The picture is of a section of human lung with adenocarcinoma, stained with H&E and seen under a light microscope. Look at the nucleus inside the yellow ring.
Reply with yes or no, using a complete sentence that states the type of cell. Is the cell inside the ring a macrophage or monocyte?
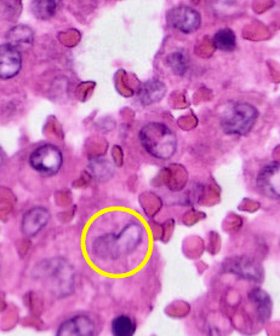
Yes, it is accurate to say that the cell inside the ring is a macrophage or monocyte.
